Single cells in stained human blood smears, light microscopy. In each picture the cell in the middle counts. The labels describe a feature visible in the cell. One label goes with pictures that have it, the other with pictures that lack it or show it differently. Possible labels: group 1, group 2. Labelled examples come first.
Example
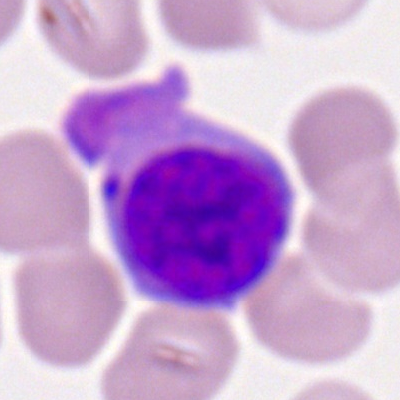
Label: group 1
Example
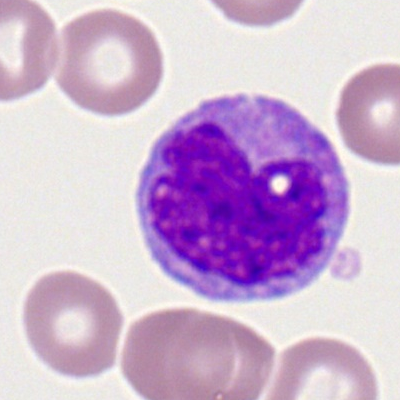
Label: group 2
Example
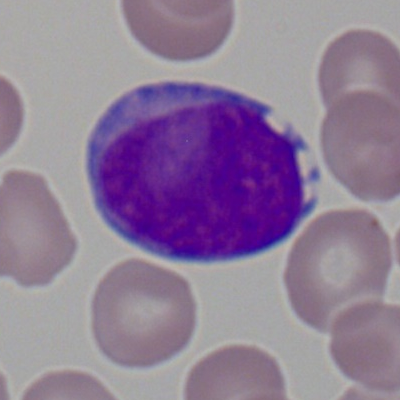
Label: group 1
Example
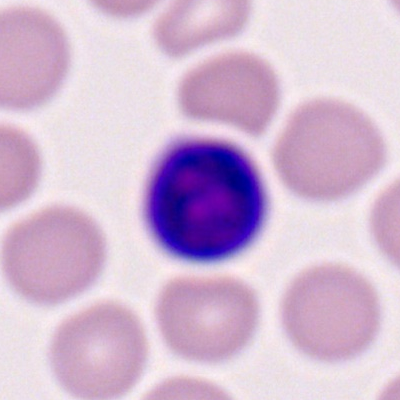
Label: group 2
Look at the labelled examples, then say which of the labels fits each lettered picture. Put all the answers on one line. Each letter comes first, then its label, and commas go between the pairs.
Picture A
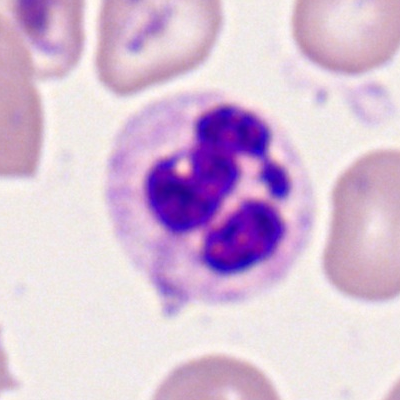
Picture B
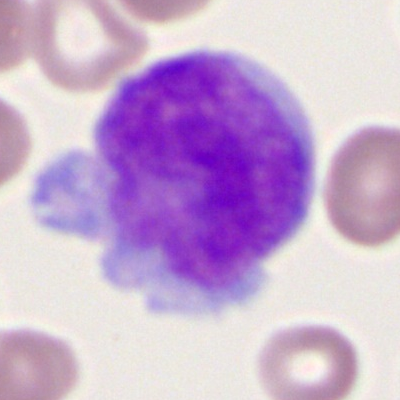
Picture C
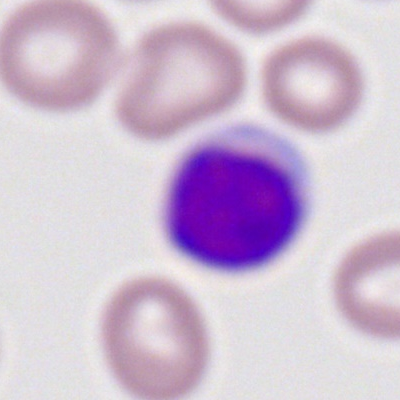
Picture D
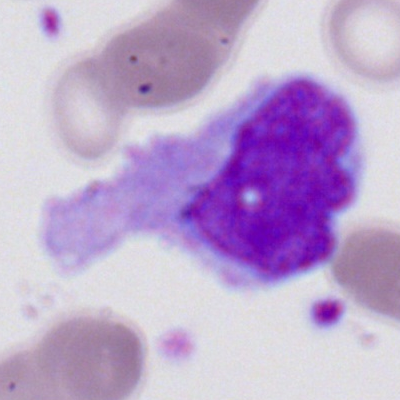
A group 1, B group 1, C group 2, D group 1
